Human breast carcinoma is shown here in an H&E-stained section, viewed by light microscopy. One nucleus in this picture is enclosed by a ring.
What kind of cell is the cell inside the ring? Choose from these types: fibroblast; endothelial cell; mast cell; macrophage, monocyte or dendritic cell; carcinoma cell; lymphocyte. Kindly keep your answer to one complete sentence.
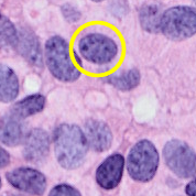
Within this tissue, the cell inside the ring is a carcinoma cell.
